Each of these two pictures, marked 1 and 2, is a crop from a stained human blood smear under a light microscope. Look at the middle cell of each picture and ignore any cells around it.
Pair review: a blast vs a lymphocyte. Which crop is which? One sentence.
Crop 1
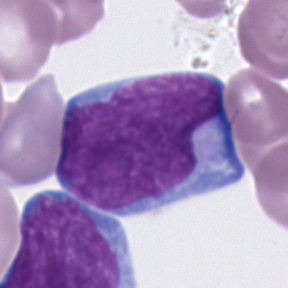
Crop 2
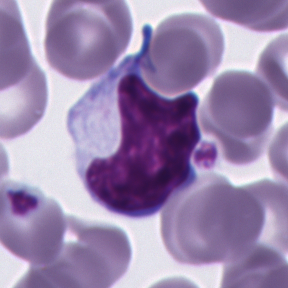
Crop 1 displays a blast, and crop 2 displays a lymphocyte.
